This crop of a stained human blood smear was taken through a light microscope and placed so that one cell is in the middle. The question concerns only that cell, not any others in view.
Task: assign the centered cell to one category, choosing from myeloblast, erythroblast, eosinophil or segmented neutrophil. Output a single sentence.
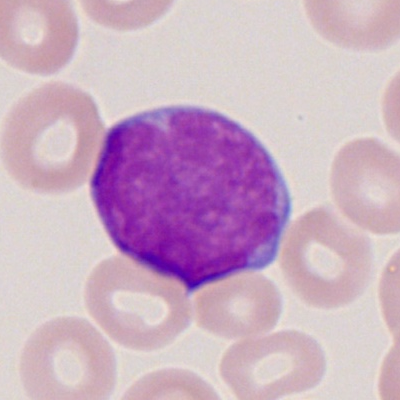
Centred in the crop is a myeloblast.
